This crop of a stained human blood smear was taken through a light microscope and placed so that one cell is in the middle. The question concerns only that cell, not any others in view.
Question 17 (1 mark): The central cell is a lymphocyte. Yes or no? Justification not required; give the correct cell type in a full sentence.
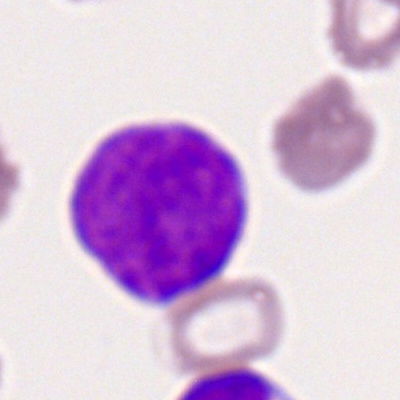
No, the cell at the centre of the crop is a myeloblast and not a lymphocyte.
